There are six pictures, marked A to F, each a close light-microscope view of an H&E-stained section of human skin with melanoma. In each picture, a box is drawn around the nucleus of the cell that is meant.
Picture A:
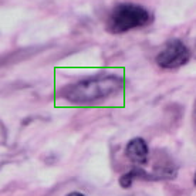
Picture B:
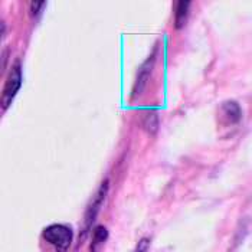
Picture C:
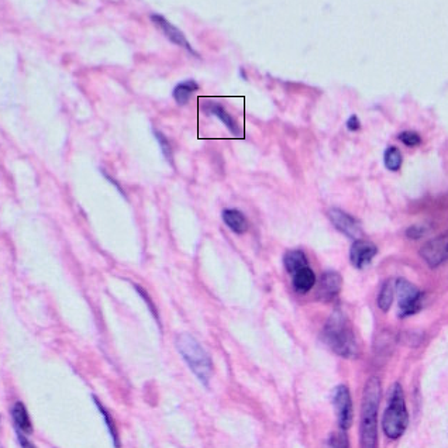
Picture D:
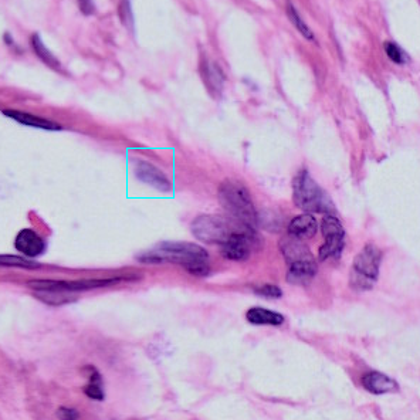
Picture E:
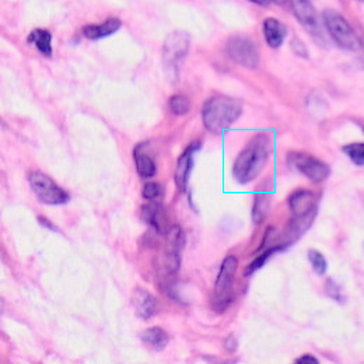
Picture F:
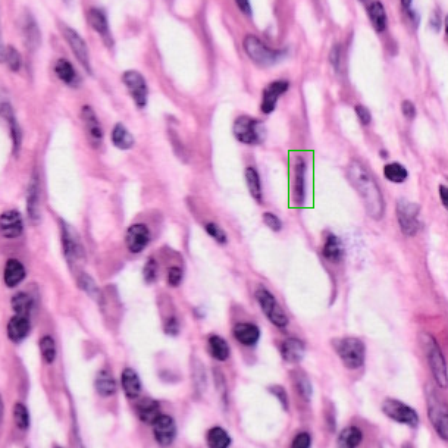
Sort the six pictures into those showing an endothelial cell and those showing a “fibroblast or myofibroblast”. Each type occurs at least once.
A: fibroblast or myofibroblast
B: endothelial cell
C: fibroblast or myofibroblast
D: endothelial cell
E: endothelial cell
F: fibroblast or myofibroblast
